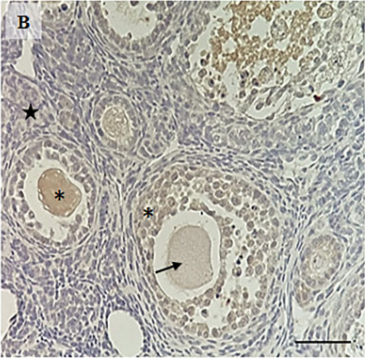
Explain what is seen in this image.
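Ovarian tissue with several follicles embedded in a stroma of spindle-shaped cells. A large follicle at the center contains a round oocyte surrounded by a clear rim and several layers of granulosa cells whose cytoplasm is tinged light brown. A smaller follicle on the left holds an oocyte with brown-stained cytoplasm within a clear space. At the upper right a space is filled with loosely packed round cells stained brown. The stromal cells between follicles have elongated blue nuclei with weak brown staining.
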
